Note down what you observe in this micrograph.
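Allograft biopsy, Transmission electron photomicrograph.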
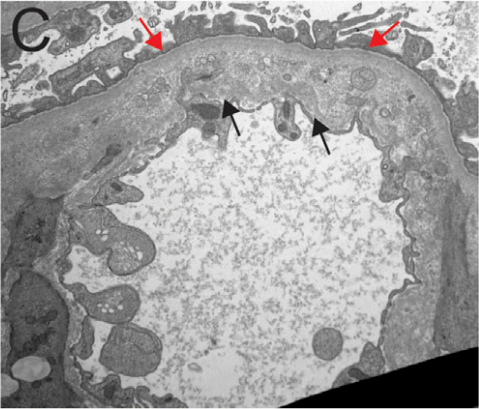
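A single glomerular capillary loop is seen at high magnification, its wide lumen pale and finely granular, with endothelial cell profiles along the inner side and podocyte foot processes along the outer surface. The wall is thickened: beneath the smooth outer basement membrane lies a broad zone of grey, mottled material, and along its inner edge a thin new dense layer runs beneath the endothelium.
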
